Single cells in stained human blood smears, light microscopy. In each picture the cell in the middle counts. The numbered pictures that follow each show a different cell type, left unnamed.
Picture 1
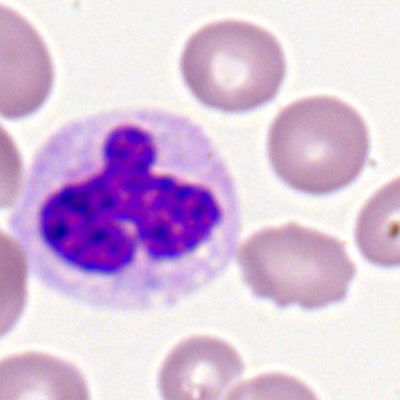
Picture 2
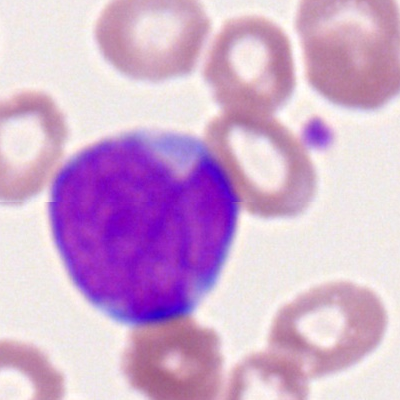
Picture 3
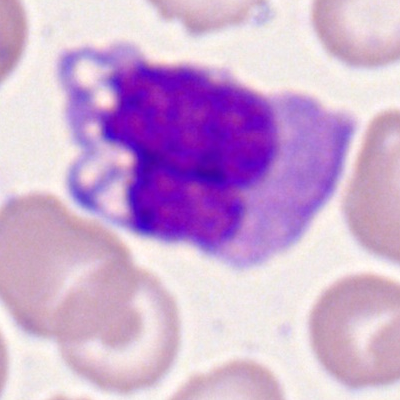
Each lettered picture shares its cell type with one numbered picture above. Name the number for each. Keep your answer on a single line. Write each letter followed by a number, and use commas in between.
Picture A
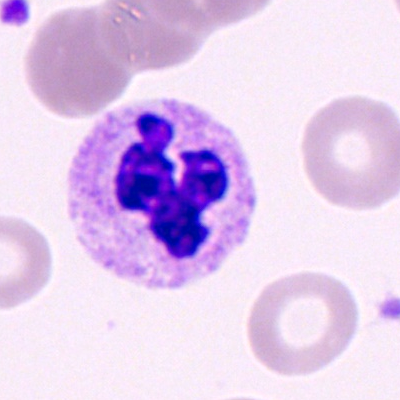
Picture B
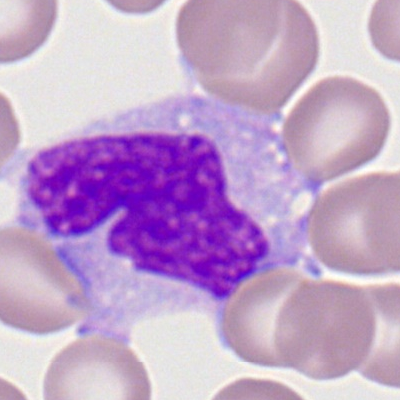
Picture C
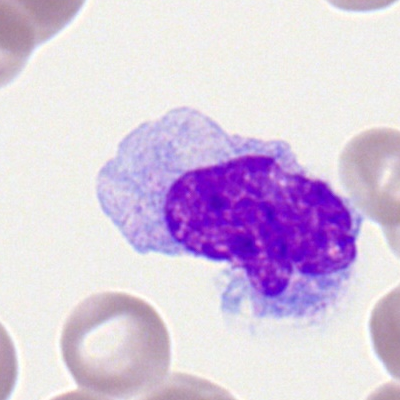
A 1, B 3, C 3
